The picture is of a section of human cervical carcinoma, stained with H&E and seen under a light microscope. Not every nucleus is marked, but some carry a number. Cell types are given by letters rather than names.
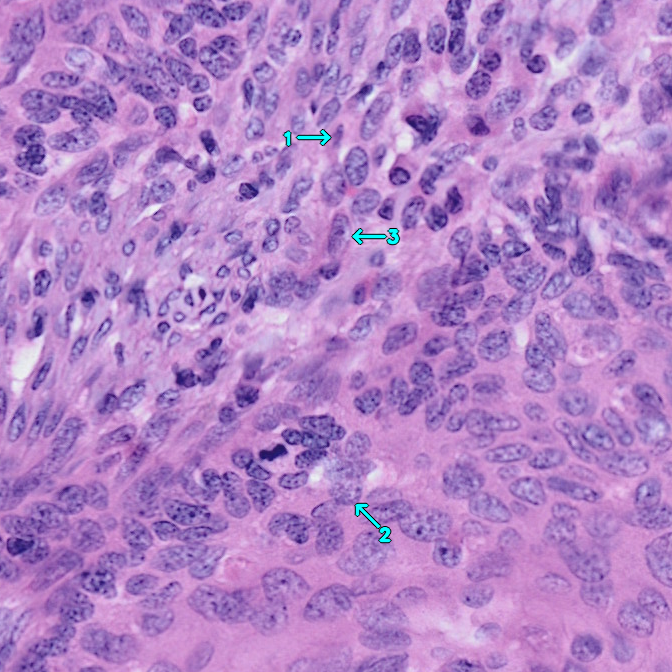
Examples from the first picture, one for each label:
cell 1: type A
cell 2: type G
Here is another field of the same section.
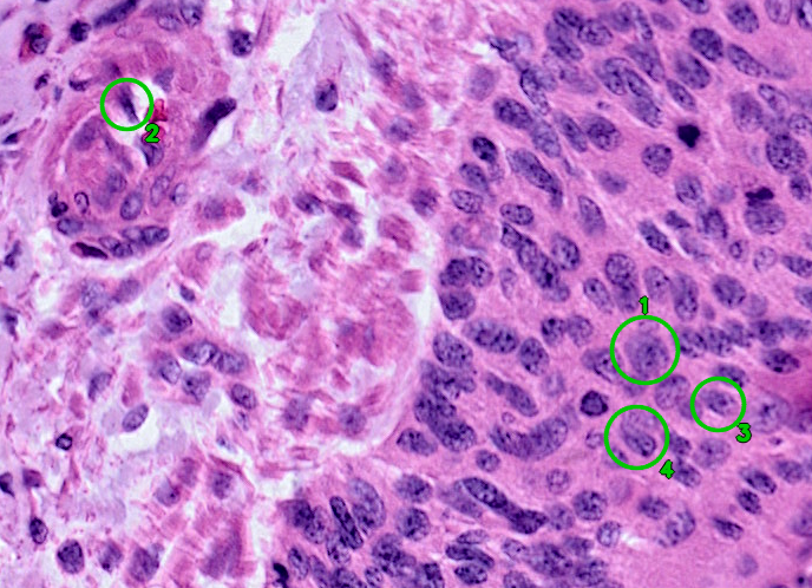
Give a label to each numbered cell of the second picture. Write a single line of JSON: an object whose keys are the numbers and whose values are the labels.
{"1": "type G", "2": "type A", "3": "type G", "4": "type G"}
